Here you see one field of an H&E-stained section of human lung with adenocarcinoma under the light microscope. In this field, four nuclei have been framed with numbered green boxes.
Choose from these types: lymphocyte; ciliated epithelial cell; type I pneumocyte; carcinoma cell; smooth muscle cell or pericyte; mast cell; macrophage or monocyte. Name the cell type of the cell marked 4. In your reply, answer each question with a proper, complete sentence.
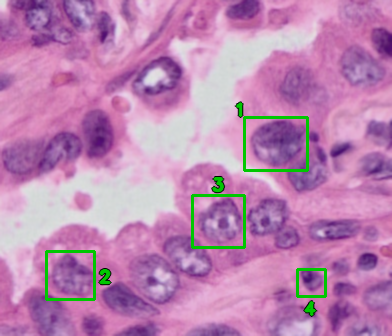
The label 4 in this section denotes a lymphocyte.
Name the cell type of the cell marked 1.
The numeral 1 marks a carcinoma cell in this section.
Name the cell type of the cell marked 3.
The cell given label 3 is a carcinoma cell.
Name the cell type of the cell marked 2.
Here the cell numbered 2 is a carcinoma cell.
